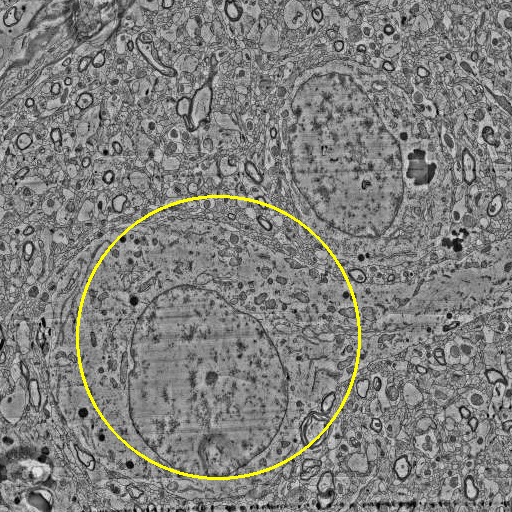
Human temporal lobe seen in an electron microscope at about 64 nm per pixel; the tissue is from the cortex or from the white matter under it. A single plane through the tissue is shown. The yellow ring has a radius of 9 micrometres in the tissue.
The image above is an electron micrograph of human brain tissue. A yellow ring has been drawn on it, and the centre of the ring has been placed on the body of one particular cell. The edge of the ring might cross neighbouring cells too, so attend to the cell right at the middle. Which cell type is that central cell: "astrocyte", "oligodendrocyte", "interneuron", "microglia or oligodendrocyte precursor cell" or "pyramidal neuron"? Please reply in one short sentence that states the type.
The central cell in the ring is a pyramidal neuron.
